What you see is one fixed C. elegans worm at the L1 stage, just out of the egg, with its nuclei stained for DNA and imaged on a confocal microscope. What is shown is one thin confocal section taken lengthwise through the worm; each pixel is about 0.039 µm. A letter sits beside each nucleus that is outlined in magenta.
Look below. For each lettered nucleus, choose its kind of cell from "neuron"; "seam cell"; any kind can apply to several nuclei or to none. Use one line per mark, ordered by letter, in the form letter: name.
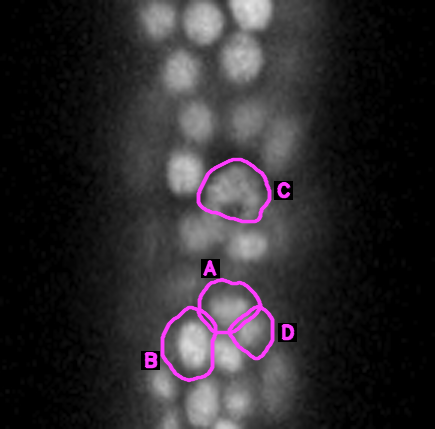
A: neuron
B: neuron
C: seam cell
D: neuron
